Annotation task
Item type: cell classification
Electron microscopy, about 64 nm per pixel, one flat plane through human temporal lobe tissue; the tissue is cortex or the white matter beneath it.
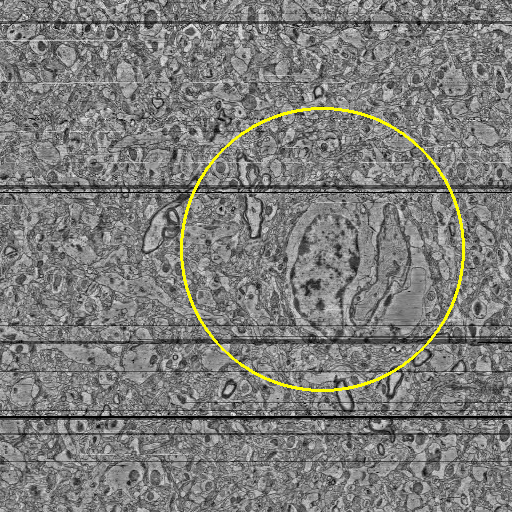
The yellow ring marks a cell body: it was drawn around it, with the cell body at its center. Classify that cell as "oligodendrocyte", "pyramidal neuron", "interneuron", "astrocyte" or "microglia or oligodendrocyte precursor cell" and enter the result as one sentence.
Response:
The ring's center falls on a microglial cell or oligodendrocyte precursor cell.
